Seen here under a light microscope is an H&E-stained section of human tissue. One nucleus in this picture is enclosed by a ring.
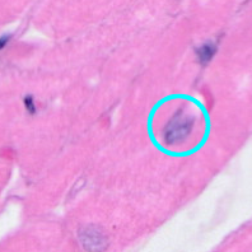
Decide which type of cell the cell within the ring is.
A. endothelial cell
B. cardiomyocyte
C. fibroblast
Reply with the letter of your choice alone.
B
